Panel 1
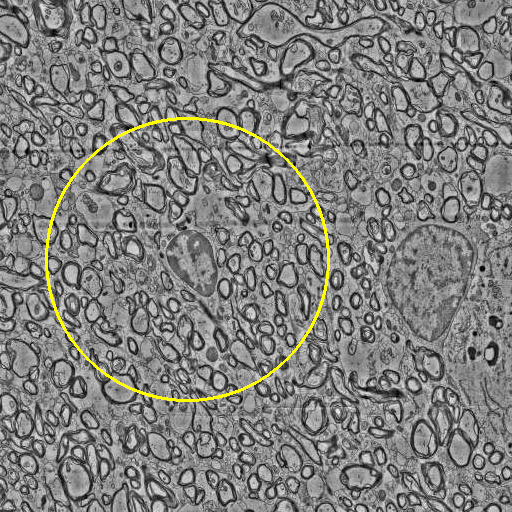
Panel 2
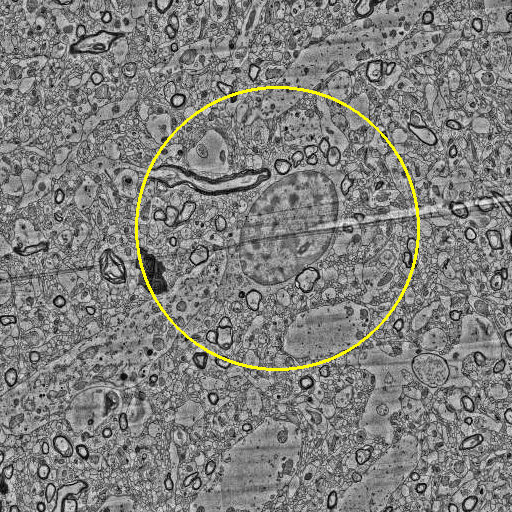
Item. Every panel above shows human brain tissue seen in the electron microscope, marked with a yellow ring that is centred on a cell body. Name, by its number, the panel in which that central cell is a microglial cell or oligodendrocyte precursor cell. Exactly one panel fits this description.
1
